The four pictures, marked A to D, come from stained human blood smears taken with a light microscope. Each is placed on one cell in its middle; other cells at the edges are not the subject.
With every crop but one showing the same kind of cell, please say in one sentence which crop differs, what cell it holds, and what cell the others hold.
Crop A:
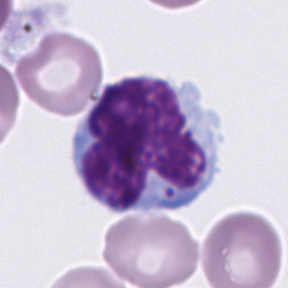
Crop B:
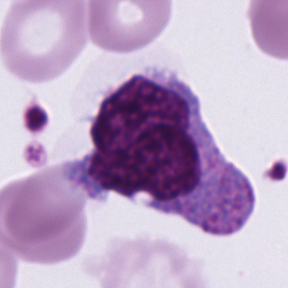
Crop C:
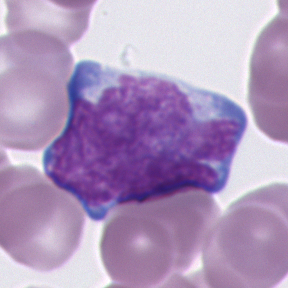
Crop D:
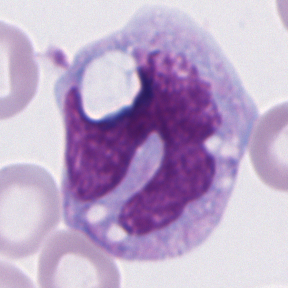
The rest of the crops show monocytes; crop C is the one showing a myeloblast.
